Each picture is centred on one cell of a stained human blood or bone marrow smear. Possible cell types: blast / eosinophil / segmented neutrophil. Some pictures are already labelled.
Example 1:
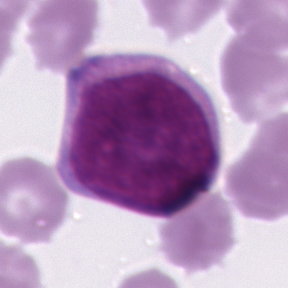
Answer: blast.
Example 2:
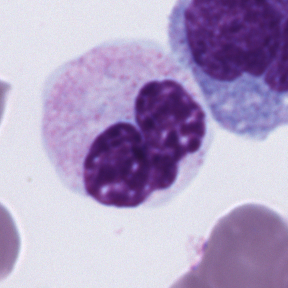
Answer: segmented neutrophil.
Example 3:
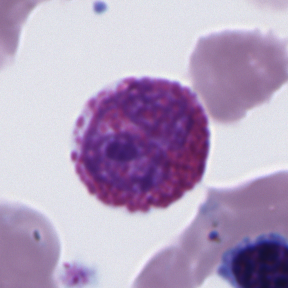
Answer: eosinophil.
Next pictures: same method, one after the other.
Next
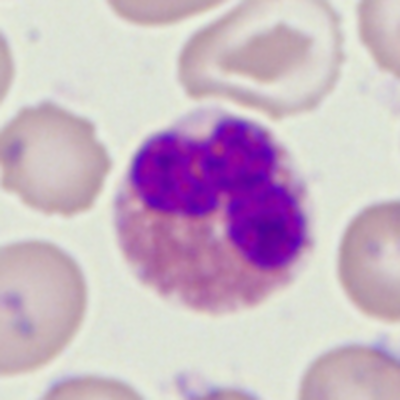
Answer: eosinophil.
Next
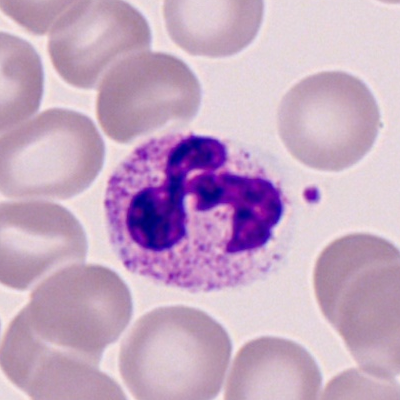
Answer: segmented neutrophil.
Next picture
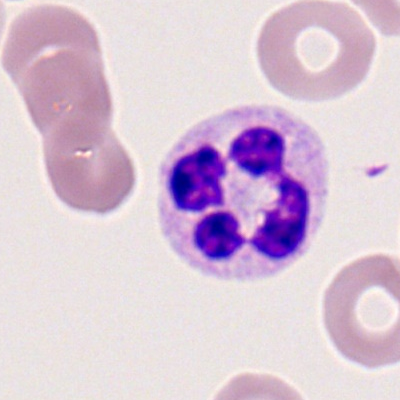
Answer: segmented neutrophil.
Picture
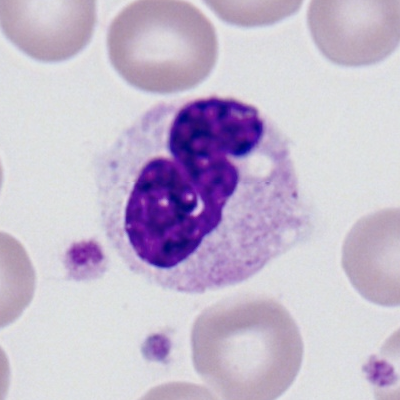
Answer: segmented neutrophil.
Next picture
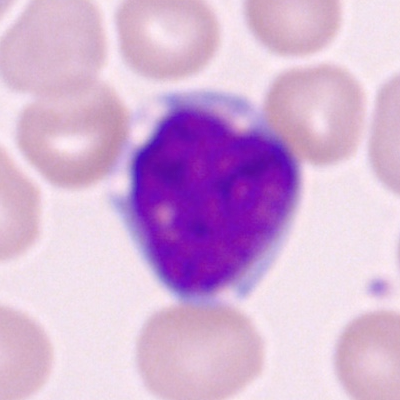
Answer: blast.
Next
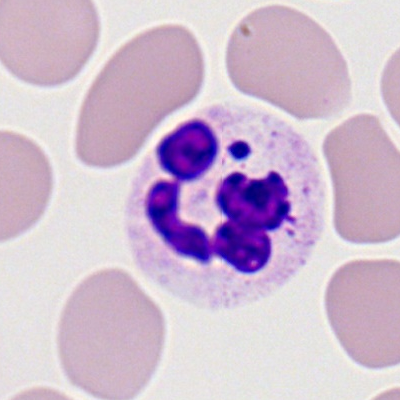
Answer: segmented neutrophil.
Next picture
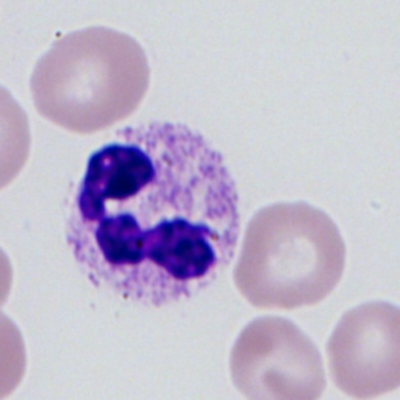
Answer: segmented neutrophil.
